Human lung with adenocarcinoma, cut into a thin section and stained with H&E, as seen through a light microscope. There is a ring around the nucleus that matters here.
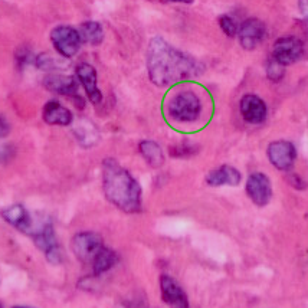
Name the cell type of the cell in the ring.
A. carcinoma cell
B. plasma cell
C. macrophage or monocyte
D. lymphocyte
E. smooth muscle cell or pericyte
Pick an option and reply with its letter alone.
B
